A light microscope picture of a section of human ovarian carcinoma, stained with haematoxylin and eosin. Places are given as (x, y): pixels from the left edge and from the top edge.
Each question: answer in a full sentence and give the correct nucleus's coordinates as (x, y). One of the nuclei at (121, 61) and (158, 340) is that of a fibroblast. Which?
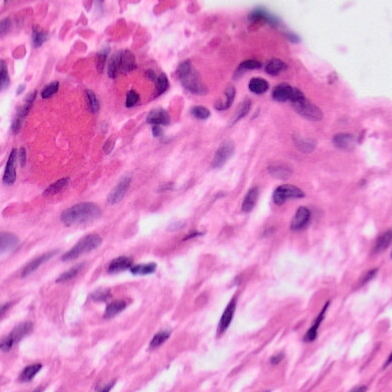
Out of the two, it is the nucleus at (158, 340) that belongs to a fibroblast.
